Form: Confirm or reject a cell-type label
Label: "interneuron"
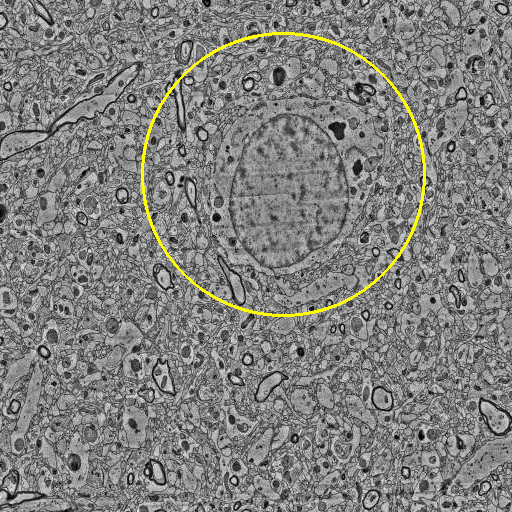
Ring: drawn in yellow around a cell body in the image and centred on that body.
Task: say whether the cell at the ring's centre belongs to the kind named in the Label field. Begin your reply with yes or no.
Yes, it belongs to that kind.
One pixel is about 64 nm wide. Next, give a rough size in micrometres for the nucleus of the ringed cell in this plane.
The nucleus appears roughly 10 by 8 micrometres in this plane.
